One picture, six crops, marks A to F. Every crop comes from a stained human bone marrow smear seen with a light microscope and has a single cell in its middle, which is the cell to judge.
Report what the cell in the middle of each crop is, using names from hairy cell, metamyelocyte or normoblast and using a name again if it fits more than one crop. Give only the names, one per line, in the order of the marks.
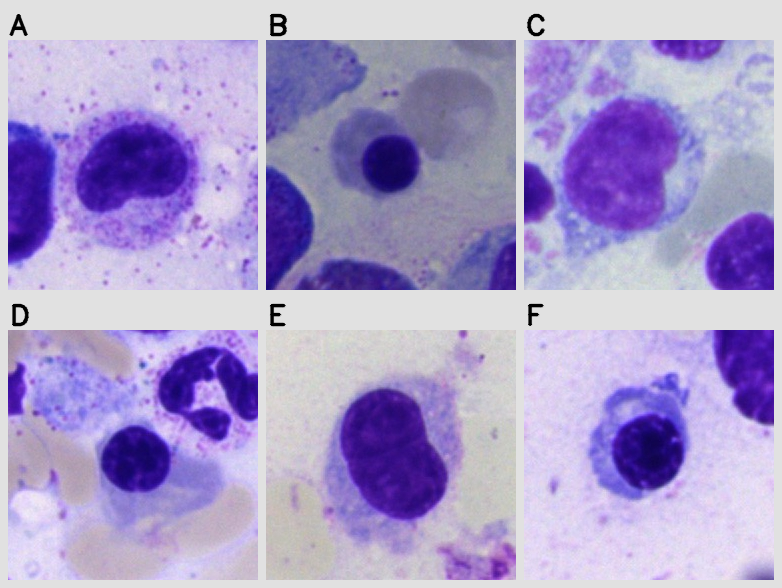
metamyelocyte
normoblast
hairy cell
normoblast
hairy cell
normoblast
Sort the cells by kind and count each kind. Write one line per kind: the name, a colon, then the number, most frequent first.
normoblast: 3
hairy cell: 2
metamyelocyte: 1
